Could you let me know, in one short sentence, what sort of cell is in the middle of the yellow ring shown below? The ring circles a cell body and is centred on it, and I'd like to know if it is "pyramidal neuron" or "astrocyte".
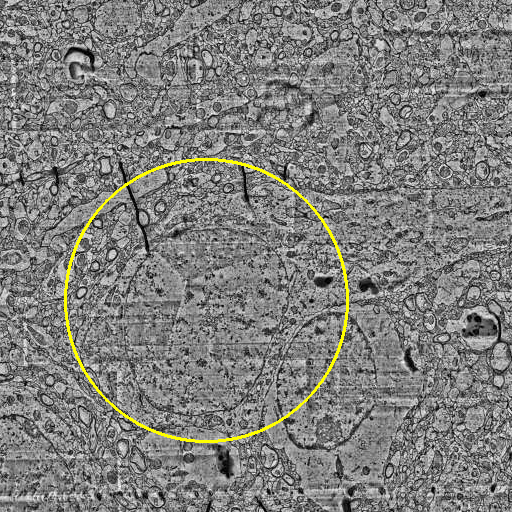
The ring circles the cell body of a pyramidal neuron.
